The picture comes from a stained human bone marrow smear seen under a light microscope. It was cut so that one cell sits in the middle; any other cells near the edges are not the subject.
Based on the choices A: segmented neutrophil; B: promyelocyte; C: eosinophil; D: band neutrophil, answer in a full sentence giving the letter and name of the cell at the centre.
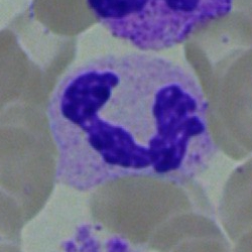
Option A is correct, naming the cell in the middle as a segmented neutrophil.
